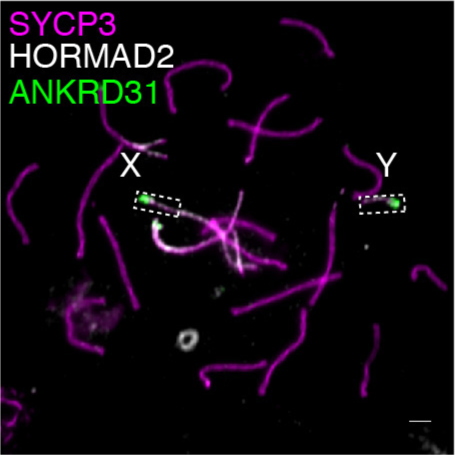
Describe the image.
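This spread of a late zygotene spermatocyte shows its chromosome axes as magenta threads scattered across the nucleus. A tangle of paler white-pink axes lies near the center of the spread.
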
